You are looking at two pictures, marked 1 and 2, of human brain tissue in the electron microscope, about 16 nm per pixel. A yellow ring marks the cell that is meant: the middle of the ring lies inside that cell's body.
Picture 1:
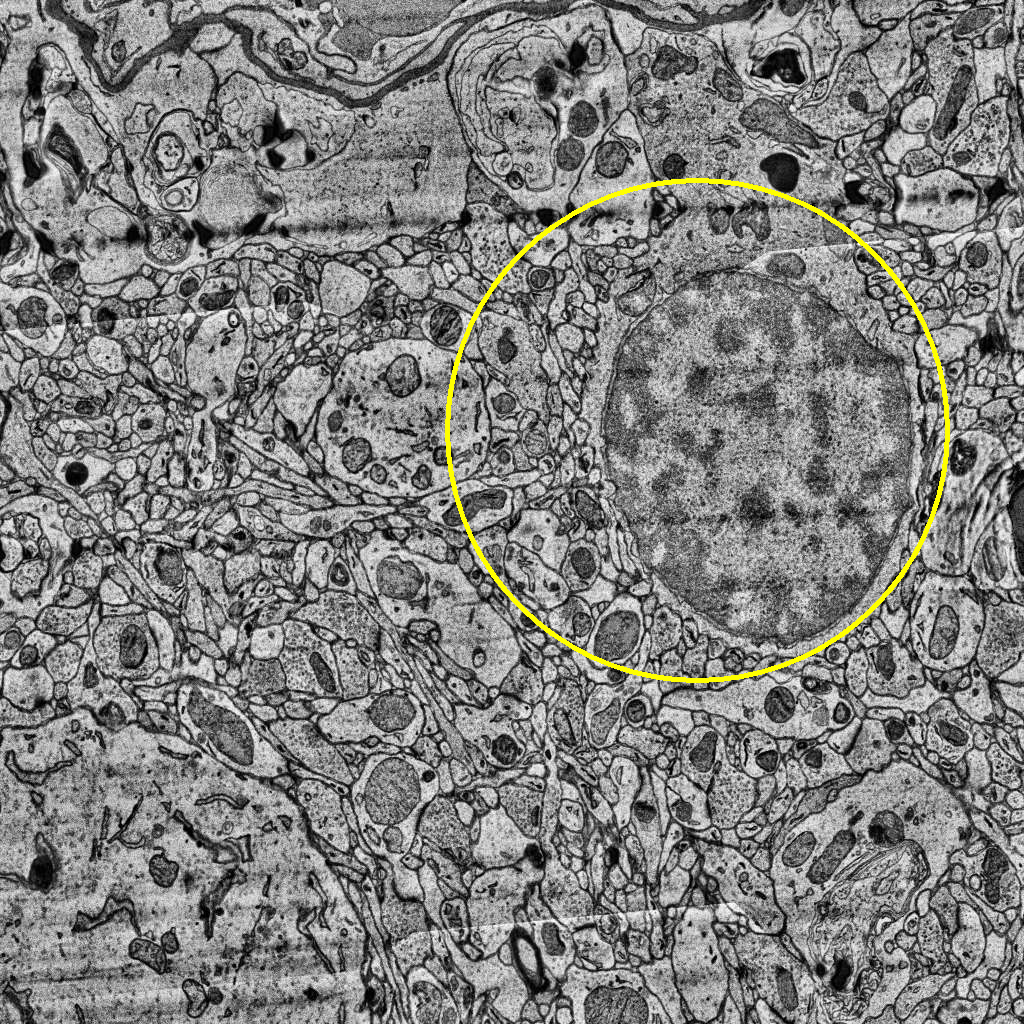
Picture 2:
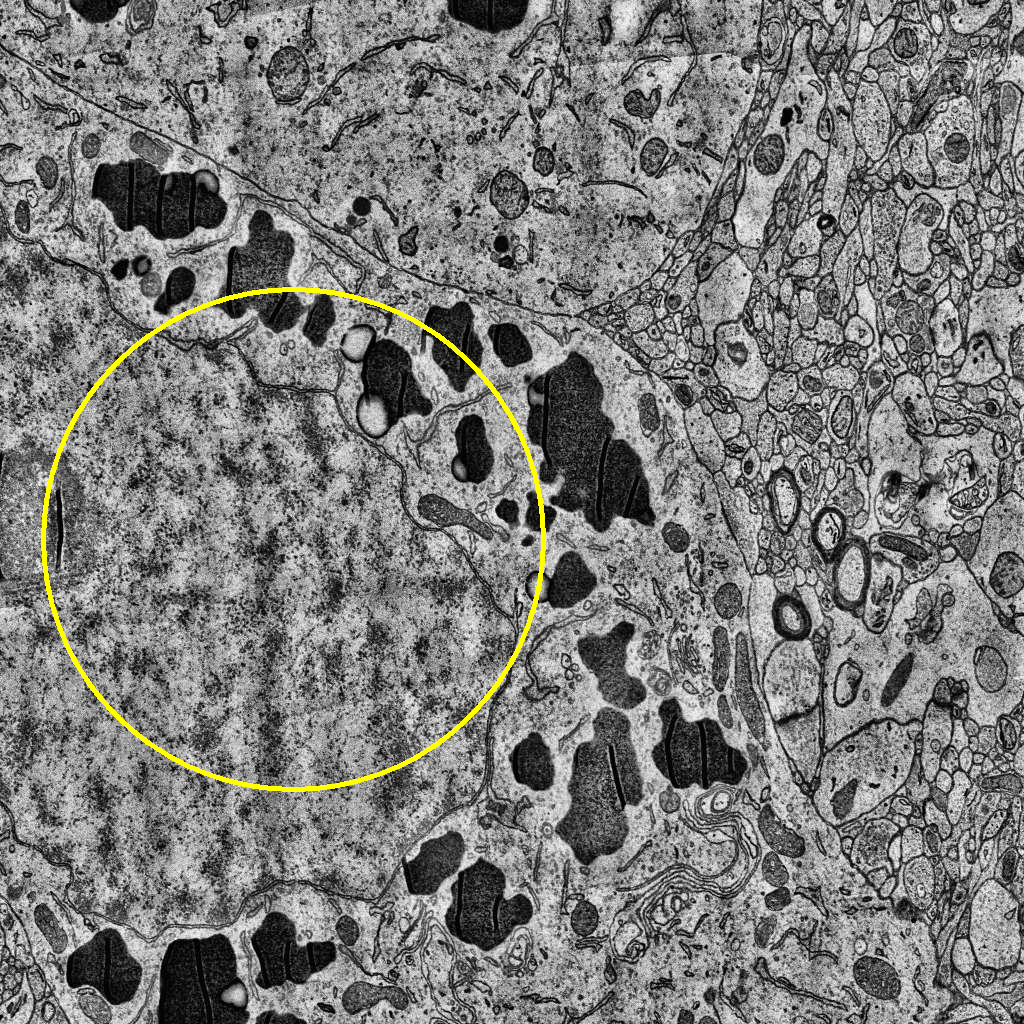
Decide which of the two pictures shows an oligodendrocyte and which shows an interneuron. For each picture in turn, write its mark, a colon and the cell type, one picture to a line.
1: oligodendrocyte
2: interneuron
